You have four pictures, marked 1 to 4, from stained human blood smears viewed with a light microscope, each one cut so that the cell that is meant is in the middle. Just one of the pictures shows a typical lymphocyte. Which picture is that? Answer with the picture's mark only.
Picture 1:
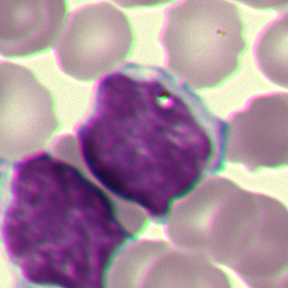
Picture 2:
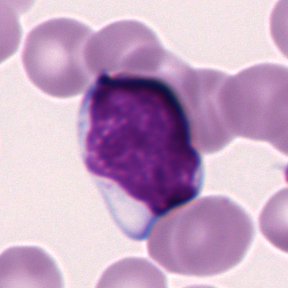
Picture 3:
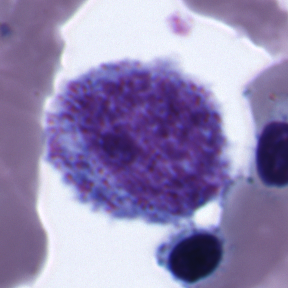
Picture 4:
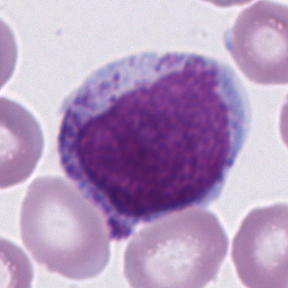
1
